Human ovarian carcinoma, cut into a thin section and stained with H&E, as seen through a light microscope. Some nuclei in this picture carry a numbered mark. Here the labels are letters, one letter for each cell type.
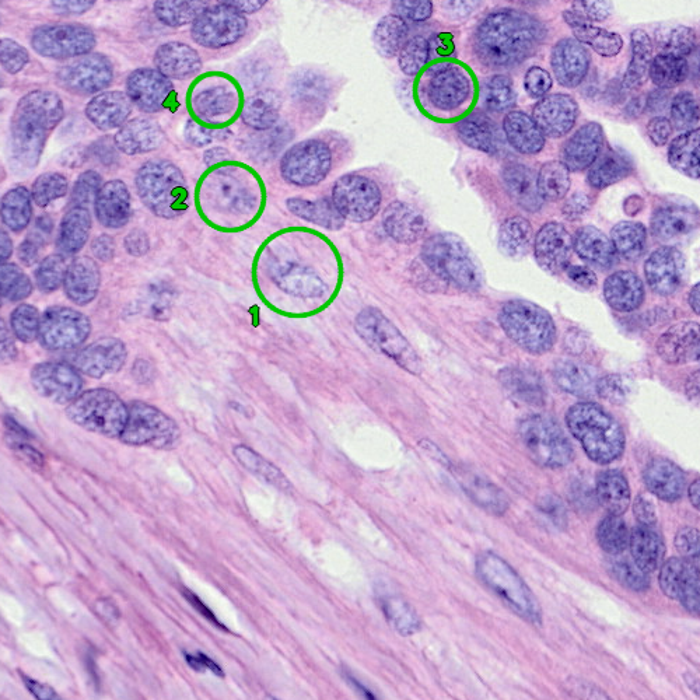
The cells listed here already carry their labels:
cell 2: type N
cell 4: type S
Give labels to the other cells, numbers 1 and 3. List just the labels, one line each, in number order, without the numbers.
type N
type S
